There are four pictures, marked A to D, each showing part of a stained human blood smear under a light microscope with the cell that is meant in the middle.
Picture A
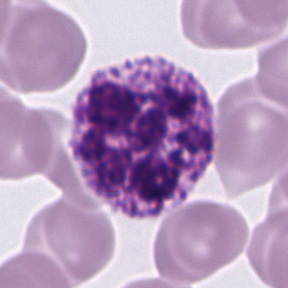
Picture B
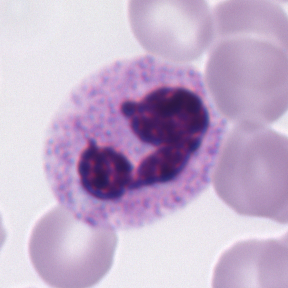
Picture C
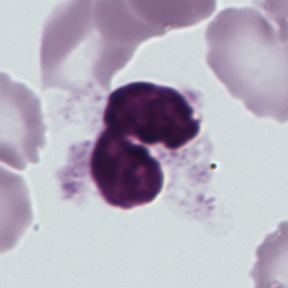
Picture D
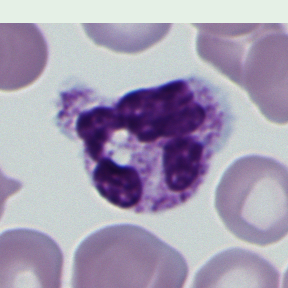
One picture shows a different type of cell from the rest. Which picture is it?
A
